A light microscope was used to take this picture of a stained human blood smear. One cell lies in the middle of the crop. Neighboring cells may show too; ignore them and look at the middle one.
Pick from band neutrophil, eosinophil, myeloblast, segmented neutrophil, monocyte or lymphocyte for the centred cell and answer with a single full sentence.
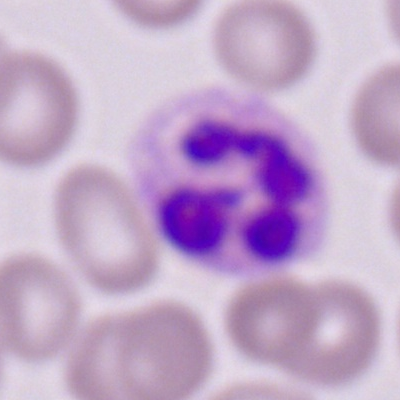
The central element of this crop is a cell, namely a segmented neutrophil.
